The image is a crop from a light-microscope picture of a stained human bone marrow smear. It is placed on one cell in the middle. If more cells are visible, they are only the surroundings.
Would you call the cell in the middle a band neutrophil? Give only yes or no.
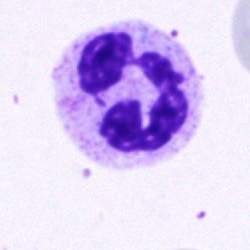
no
